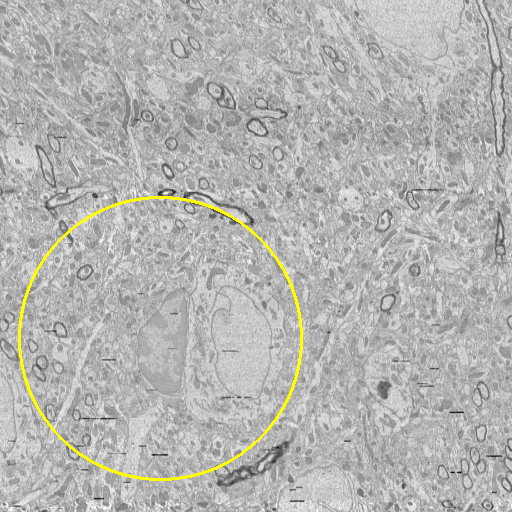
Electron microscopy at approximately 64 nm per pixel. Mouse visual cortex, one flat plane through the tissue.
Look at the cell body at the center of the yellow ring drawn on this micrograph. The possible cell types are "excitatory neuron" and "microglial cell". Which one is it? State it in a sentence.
The cell in the middle of the ring is a microglial cell.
